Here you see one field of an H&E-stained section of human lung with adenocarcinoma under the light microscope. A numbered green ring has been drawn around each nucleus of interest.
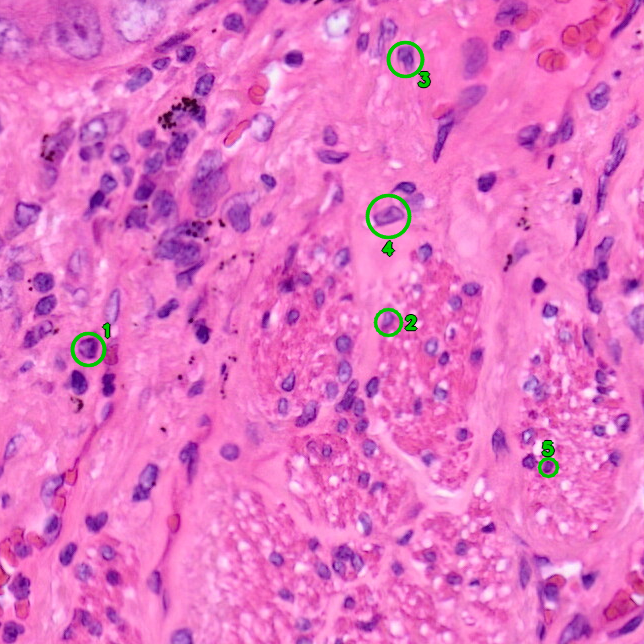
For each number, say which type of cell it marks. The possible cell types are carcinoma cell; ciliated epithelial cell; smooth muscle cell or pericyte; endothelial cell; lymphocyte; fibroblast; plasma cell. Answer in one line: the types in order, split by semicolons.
plasma cell; smooth muscle cell or pericyte; lymphocyte; fibroblast; smooth muscle cell or pericyte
